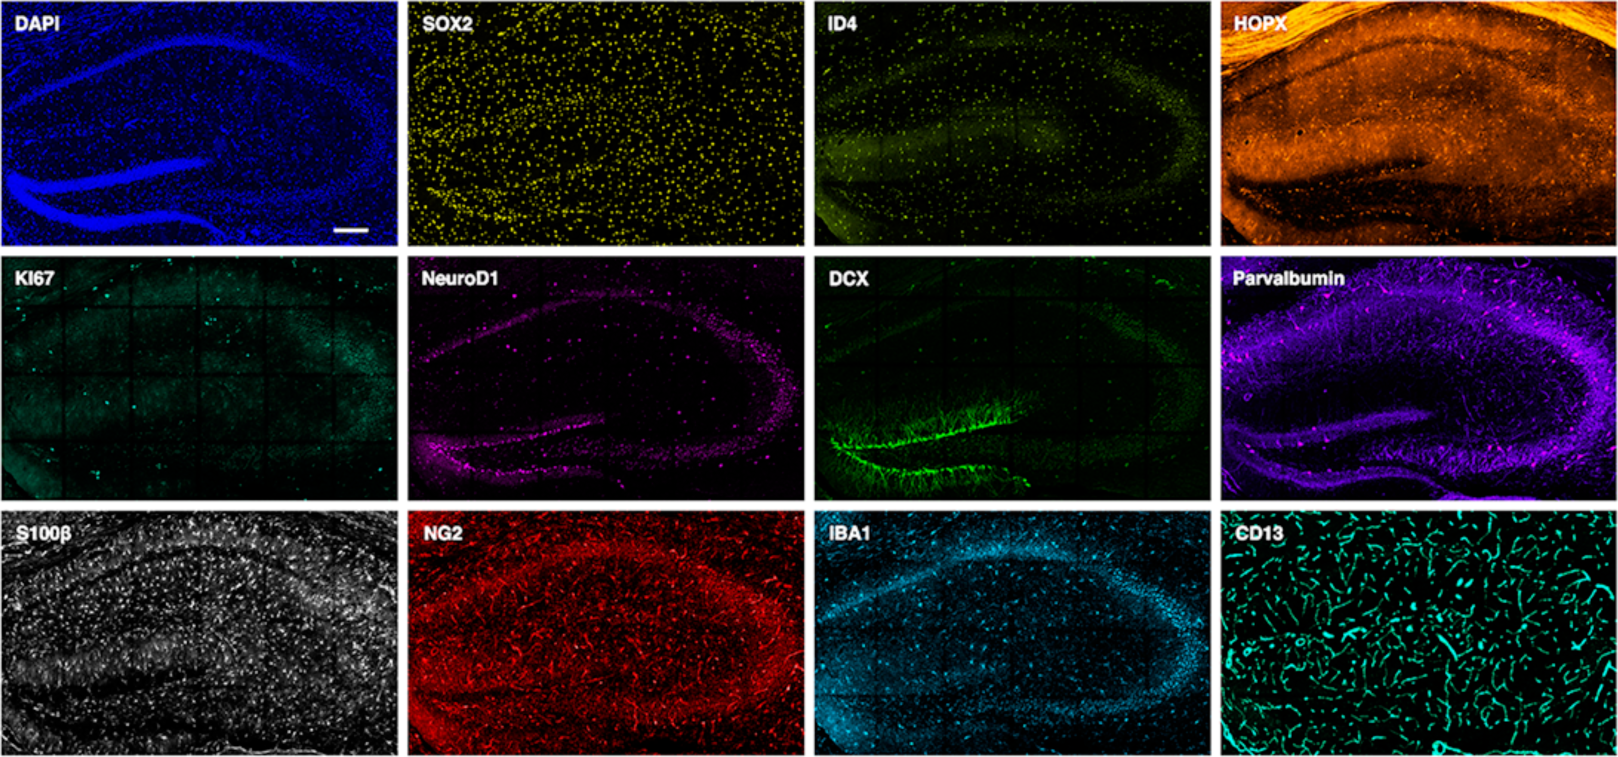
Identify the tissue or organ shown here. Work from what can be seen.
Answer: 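Dorsal hippocampal section. The nuclear stain shows a dense curved V-shaped cell band and a second curved band above it. The shape matches the dentate gyrus and cornu ammonis layers of the hippocampus.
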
